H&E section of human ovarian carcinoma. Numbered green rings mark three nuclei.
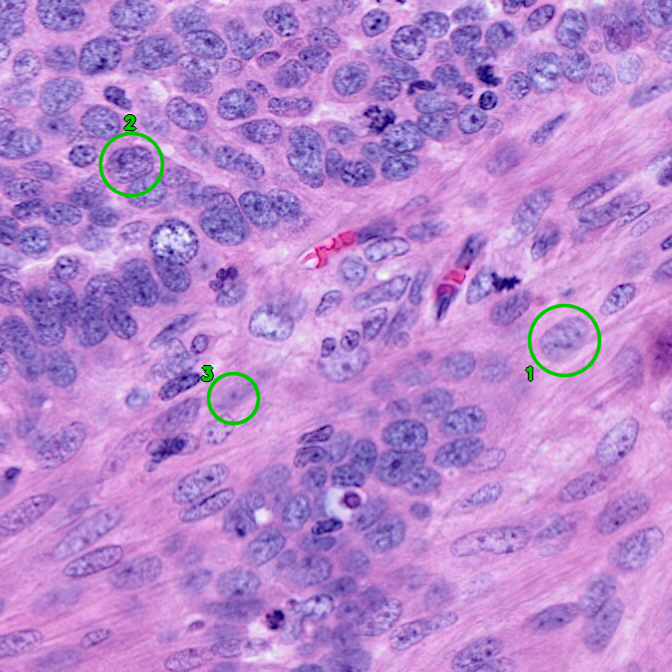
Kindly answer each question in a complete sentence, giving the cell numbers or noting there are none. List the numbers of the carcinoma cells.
Cell 2 is a carcinoma cell, while all remaining marked cells are of other types.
